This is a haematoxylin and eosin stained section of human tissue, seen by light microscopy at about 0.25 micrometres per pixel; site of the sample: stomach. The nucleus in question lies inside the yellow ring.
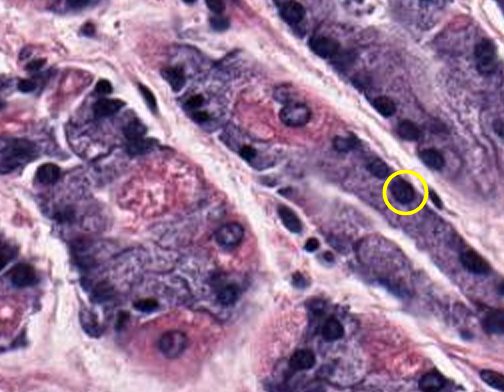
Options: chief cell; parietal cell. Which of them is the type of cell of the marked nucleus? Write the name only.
chief cell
